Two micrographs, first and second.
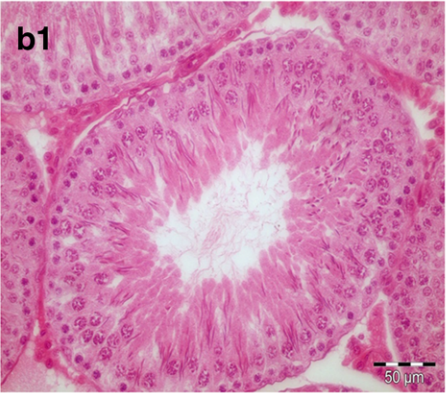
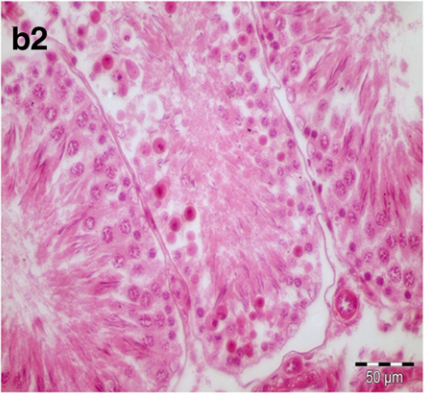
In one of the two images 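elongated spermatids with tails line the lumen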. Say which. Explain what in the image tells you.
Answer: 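The first image. Second image: no clear lumen with tails; centre filled with pale disorganized material and scattered dark rounded cells. First image: open central lumen filled with tails, with bundles of elongated dark heads around it.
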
